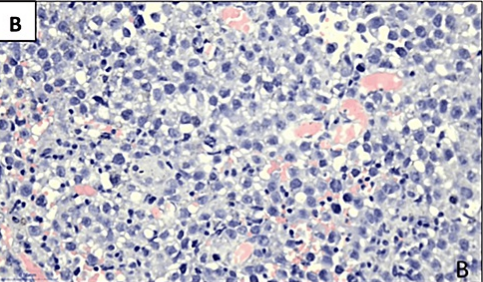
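This is a densely cellular tumor made of sheets of large, loosely cohesive tumor cells with small lymphocytes scattered between them. Interspersed among them are smaller cells with dark, compact round nuclei and scant cytoplasm, the lymphocytes. Thin-walled vessels and pools of pink red blood cells lie between the cells. There is no obvious organized architecture such as glands or rosettes; the cells are arranged in diffuse sheets.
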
